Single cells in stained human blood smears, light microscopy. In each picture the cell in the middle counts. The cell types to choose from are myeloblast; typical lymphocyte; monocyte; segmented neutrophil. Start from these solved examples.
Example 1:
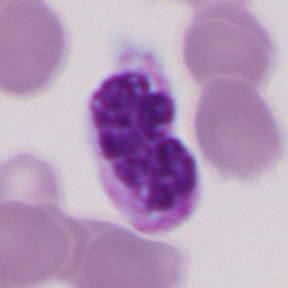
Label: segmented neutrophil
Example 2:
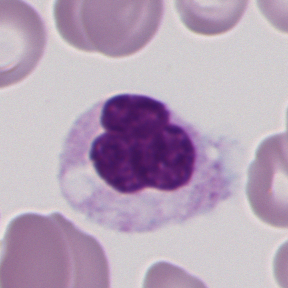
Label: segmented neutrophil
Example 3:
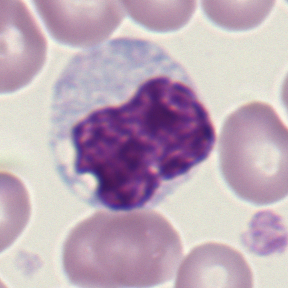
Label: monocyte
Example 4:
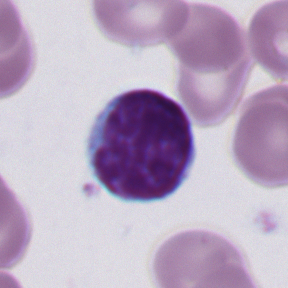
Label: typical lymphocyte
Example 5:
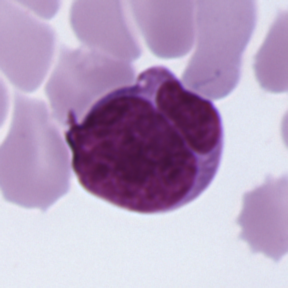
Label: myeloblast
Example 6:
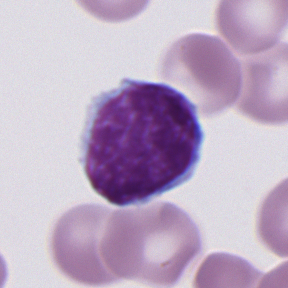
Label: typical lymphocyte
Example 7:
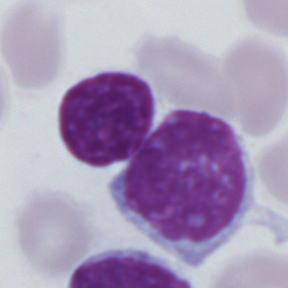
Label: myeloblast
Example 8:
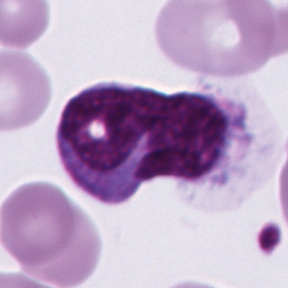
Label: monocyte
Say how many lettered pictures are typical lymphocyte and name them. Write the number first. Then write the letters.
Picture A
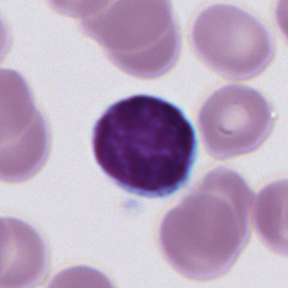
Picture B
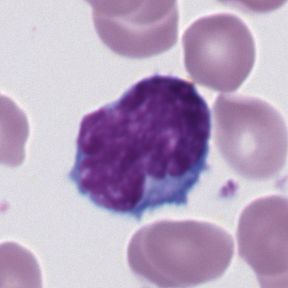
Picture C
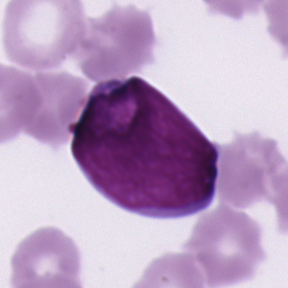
Count: 1 (A)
